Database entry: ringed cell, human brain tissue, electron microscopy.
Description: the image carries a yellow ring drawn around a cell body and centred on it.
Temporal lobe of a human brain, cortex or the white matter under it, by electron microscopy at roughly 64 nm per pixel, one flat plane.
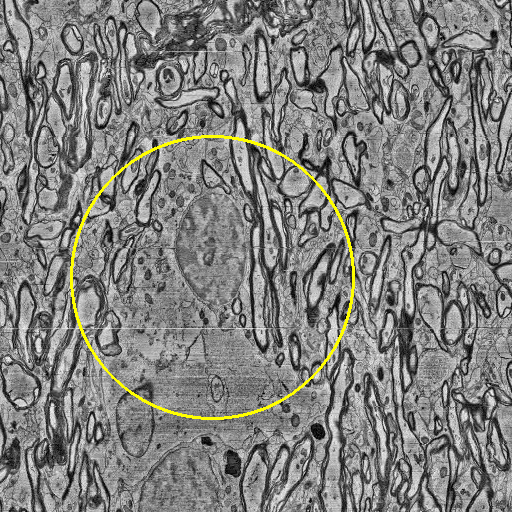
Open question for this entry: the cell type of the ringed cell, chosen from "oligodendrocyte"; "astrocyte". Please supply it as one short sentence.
The ringed cell is an oligodendrocyte.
